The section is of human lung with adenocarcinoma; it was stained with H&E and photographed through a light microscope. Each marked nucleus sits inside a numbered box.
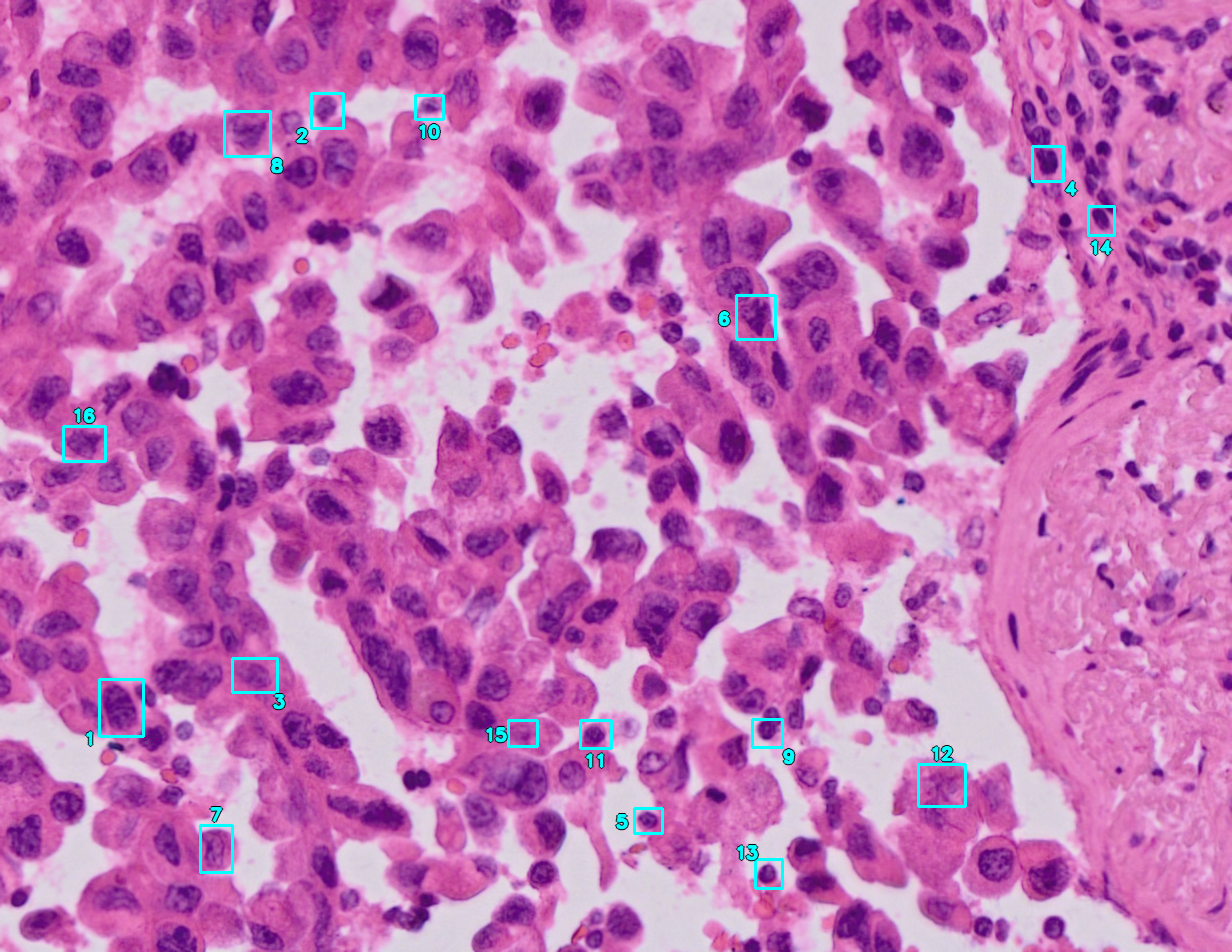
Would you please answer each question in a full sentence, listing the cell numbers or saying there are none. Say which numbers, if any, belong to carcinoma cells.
Cells 1, 3, 6, 7, 8, 12, 15 and 16 are of one type, namely carcinoma cells.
